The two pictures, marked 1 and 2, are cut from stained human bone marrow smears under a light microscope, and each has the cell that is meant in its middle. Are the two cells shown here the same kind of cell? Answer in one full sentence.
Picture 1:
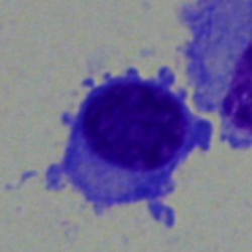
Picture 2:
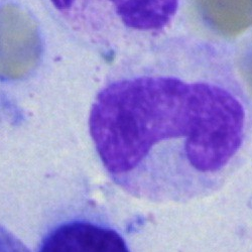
No, picture 1 shows a plasma cell and picture 2 shows a band neutrophil.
